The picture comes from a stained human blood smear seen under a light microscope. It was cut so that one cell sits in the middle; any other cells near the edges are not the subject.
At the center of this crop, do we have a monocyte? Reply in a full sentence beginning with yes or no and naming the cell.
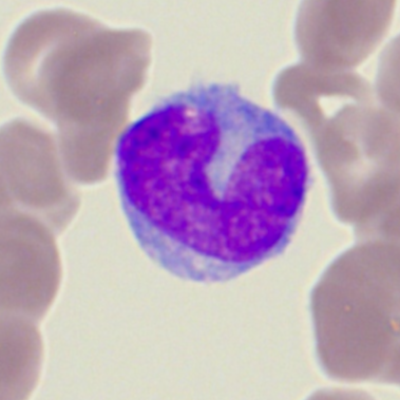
Yes, the cell in the central position is a monocyte.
